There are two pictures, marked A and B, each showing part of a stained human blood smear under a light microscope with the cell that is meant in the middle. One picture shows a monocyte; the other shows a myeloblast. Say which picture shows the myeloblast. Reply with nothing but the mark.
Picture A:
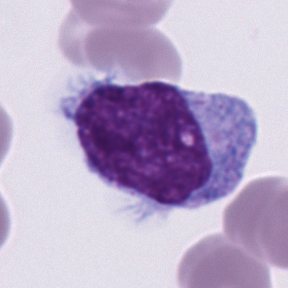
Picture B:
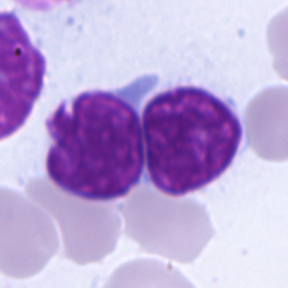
B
